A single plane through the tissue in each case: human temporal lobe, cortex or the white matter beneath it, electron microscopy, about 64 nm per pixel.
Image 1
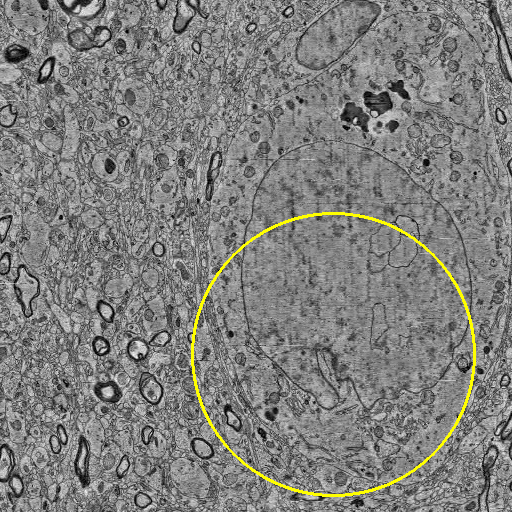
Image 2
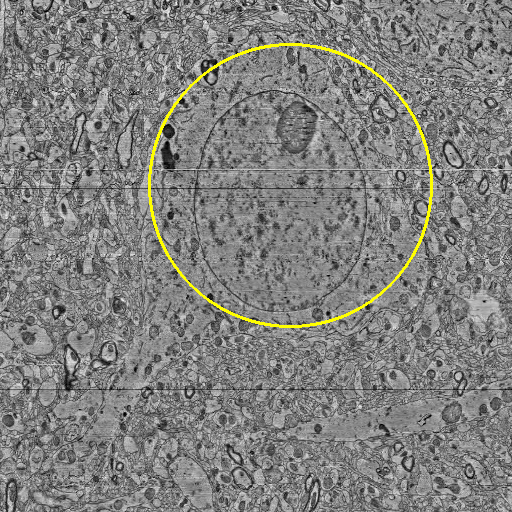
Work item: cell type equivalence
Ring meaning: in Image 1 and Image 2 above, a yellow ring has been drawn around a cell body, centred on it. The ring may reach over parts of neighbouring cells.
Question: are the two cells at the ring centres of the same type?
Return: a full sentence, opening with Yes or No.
Yes, the two centred cells are of the same type.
